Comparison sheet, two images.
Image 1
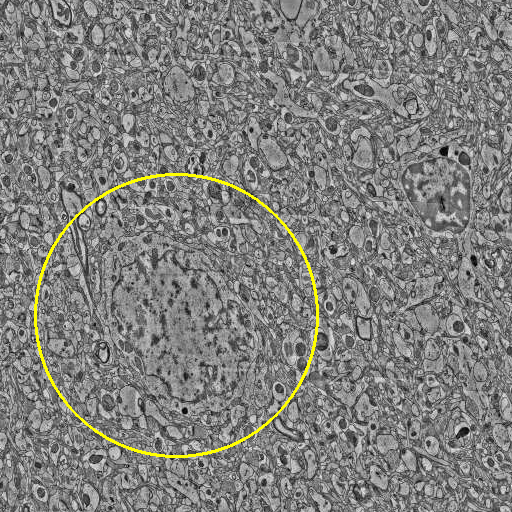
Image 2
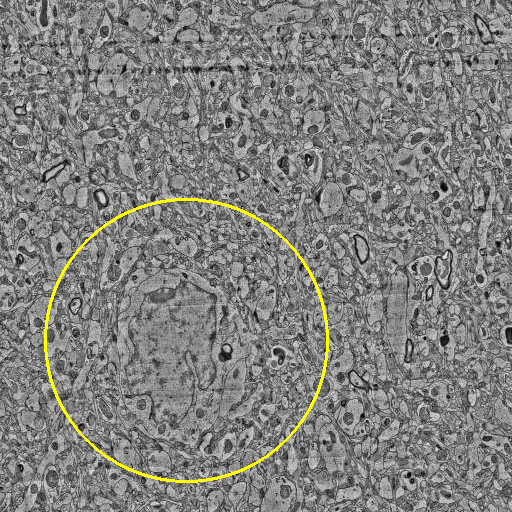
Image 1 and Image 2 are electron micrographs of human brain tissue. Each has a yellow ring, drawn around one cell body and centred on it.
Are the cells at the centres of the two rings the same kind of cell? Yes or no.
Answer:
yes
